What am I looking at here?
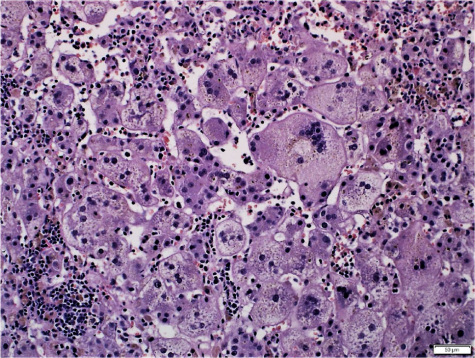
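This is liver tissue with markedly enlarged hepatocytes, many of them multinucleated giant hepatocytes. The large cells have pale, finely granular pink-violet cytoplasm and hold clusters of several dark nuclei, sometimes grouped toward the centre of the cell. Smaller hepatocytes around them are also swollen and pale. The normal plate arrangement is disturbed, and some cells gather into small rounded groups. Between the liver cells lie many small round cells with dense dark nuclei, especially toward the lower left, and scattered brownish pigment is present in places.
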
